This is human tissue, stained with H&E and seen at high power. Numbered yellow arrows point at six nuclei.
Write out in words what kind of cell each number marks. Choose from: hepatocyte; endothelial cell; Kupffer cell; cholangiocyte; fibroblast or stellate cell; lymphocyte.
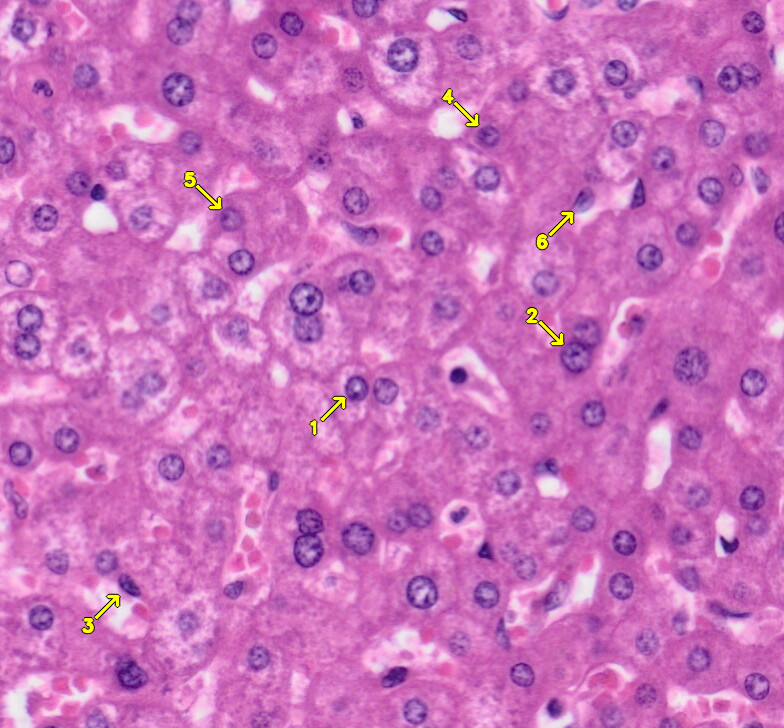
Cells 1, 2, 4 and 5 are hepatocytes. Cell 3 is a fibroblast or stellate cell. Cell 6 is an endothelial cell.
